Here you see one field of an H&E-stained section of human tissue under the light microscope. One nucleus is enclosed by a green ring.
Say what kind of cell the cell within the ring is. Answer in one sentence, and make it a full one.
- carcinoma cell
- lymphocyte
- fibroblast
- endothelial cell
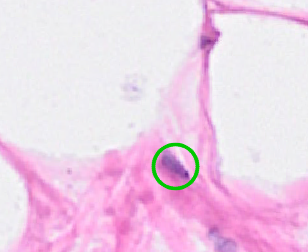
Labelled by cell type, the cell within the ring is a fibroblast.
